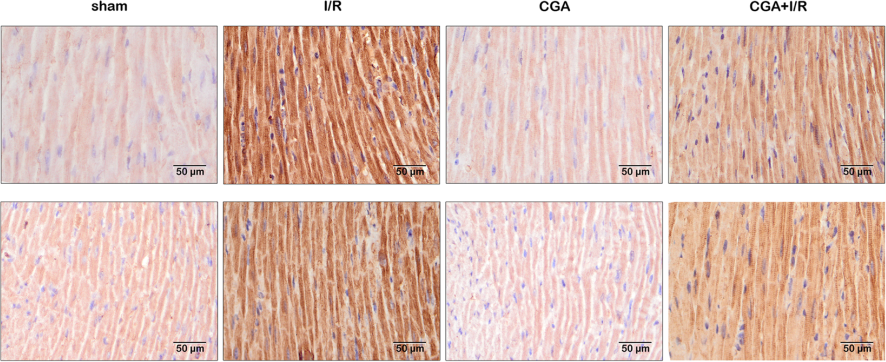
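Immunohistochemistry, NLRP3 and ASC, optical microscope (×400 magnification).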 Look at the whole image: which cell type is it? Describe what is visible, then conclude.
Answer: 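Cardiomyocytes. Oval blue nuclei lie within the fibres, aligned with their long axis. Fine cross-striations are visible in the more darkly stained fibres.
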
